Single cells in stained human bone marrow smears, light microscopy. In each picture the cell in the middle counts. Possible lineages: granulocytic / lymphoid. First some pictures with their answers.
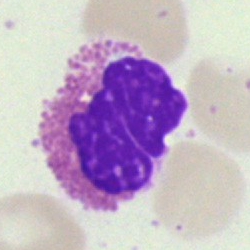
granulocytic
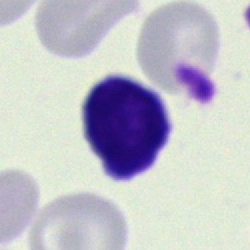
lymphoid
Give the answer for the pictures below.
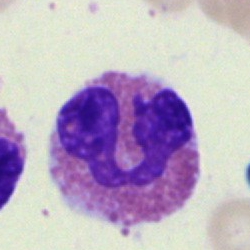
granulocytic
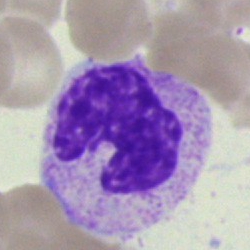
granulocytic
